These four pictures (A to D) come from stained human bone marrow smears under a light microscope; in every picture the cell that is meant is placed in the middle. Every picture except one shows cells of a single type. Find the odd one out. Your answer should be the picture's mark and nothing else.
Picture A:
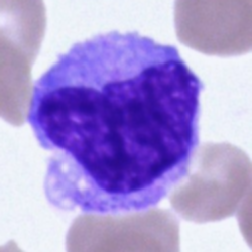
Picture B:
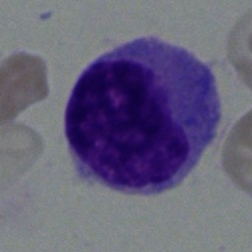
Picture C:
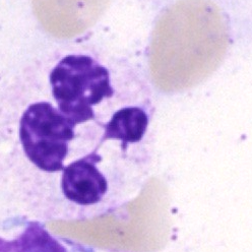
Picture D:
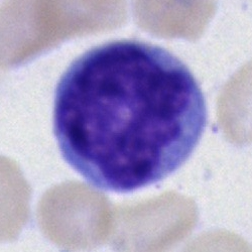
C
